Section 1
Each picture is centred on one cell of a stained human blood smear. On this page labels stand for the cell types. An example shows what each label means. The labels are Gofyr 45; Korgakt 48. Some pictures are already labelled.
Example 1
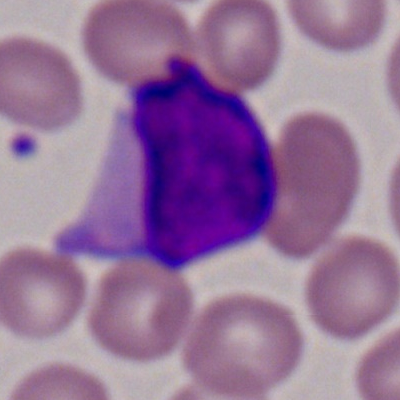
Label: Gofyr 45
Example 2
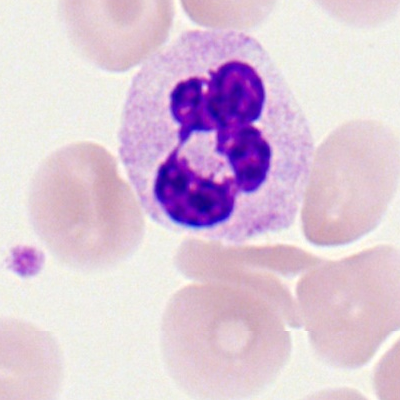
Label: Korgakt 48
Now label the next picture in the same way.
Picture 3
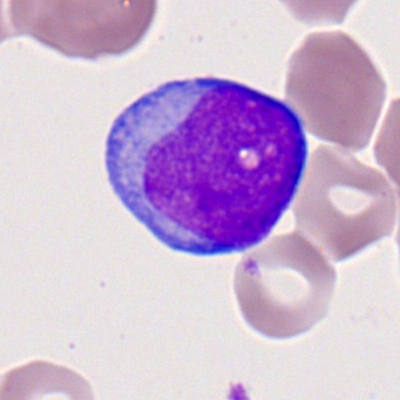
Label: Gofyr 45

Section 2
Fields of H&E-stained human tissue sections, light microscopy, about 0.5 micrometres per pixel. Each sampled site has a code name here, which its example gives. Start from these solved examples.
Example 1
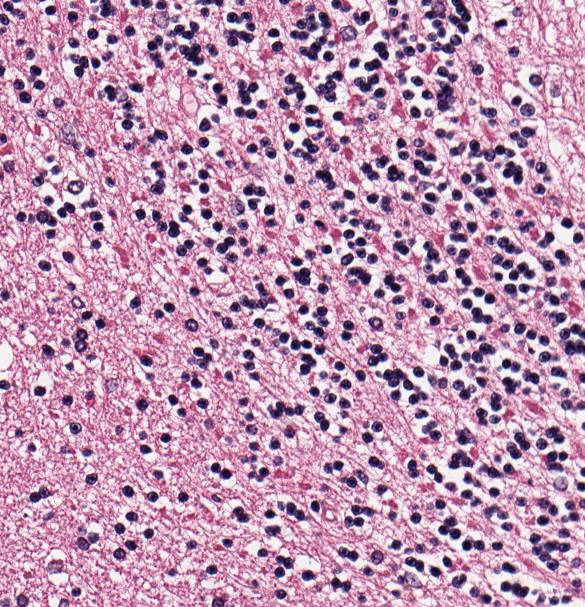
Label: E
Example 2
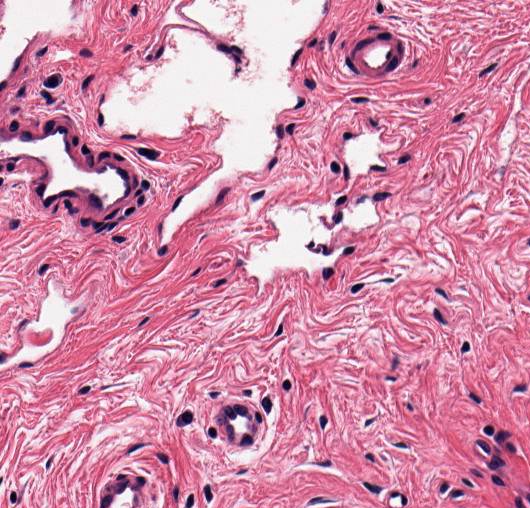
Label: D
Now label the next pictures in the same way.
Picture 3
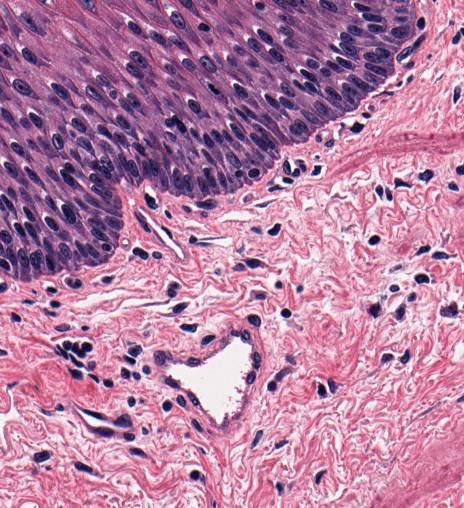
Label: D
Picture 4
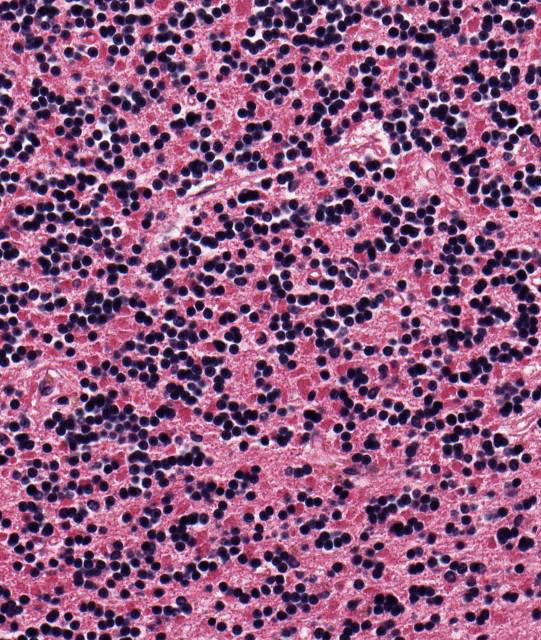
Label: E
